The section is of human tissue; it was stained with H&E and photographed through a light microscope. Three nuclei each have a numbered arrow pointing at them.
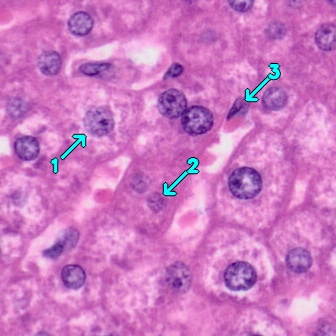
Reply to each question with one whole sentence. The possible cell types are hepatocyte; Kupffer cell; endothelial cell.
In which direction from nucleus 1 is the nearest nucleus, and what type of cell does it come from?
The nearest nucleus is that of a Kupffer cell and lies above nucleus 1.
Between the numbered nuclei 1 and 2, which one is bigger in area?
Nucleus 1 covers more area, about 2.5 times as much as nucleus 2.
